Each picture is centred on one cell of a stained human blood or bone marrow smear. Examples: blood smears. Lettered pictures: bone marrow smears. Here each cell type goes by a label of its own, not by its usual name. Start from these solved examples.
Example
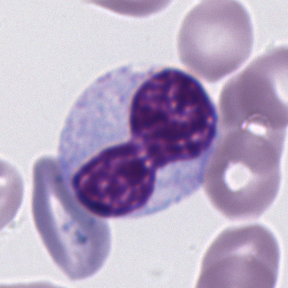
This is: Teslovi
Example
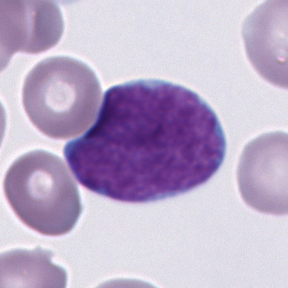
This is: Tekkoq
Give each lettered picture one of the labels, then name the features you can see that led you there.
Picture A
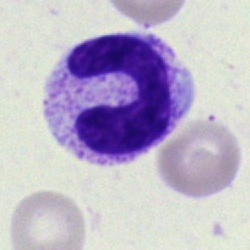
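Teslovi. Reason: The nucleus is a curved band shaped like a horseshoe.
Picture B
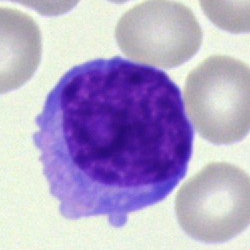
Tekkoq. Reason: The nucleus fills most of the cell and sits toward the upper right.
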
